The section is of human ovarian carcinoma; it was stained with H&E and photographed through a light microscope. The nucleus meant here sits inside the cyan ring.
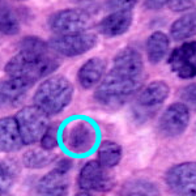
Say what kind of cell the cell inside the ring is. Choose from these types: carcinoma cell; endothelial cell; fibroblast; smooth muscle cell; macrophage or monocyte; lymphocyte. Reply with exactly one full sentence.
Cytologically, the cell inside the ring is to be regarded as a carcinoma cell.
